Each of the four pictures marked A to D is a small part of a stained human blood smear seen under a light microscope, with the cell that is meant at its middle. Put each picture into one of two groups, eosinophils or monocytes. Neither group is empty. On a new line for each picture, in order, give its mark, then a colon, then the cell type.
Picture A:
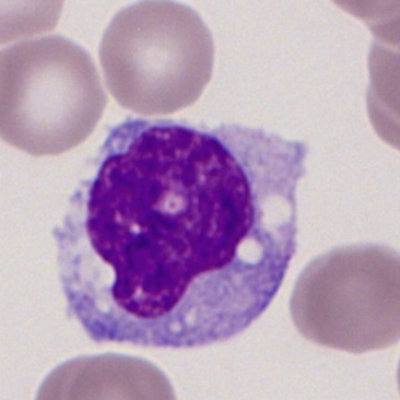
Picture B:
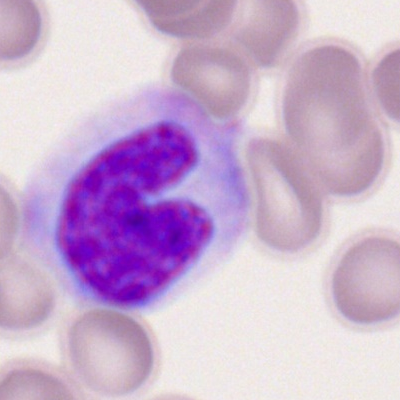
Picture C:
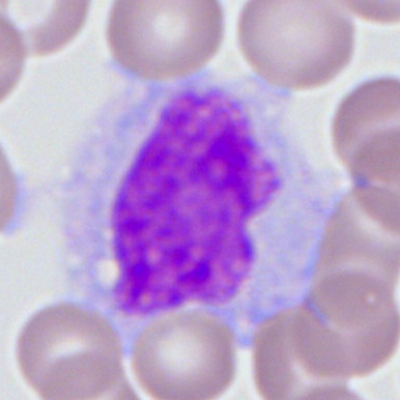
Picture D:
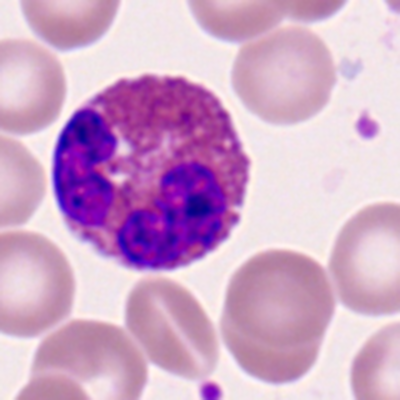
A: monocyte
B: monocyte
C: monocyte
D: eosinophil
